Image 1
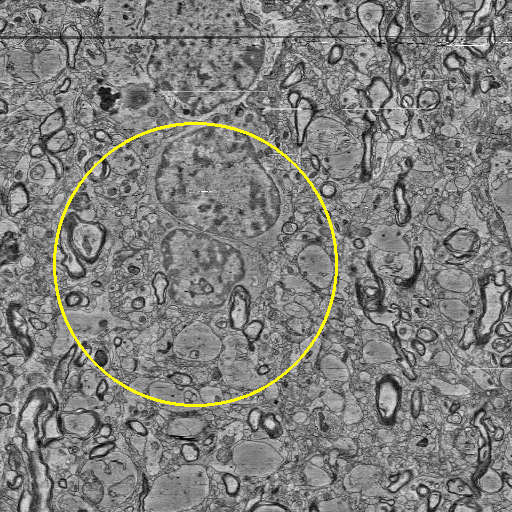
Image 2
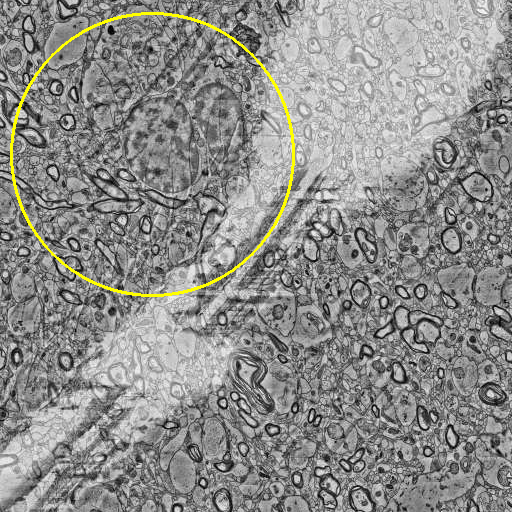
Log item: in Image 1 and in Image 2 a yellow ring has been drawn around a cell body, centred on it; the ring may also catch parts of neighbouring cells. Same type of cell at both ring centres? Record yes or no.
yes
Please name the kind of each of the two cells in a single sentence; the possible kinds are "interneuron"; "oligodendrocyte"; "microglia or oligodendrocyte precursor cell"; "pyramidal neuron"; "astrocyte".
Each of the two rings surrounds an oligodendrocyte.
